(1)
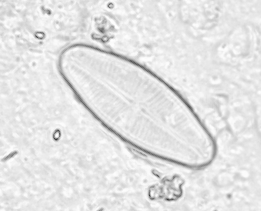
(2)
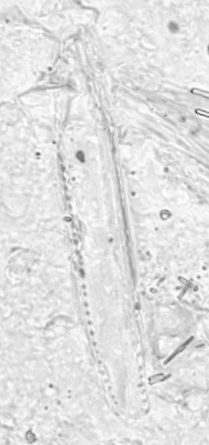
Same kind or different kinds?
Different: the first is Sellaphora, the second Nitzschia.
